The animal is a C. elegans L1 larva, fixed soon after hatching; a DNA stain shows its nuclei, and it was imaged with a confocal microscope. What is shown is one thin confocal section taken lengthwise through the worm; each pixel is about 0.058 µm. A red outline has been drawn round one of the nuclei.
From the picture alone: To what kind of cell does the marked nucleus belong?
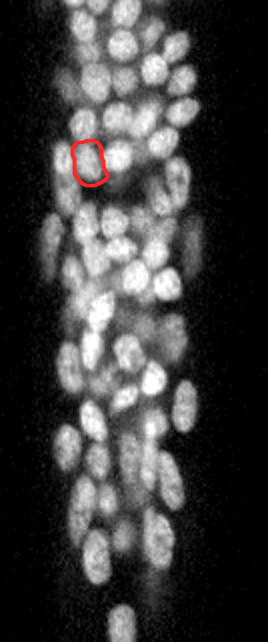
neuron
